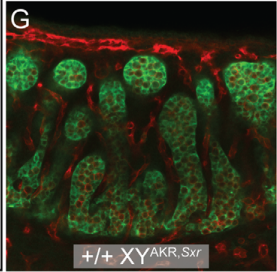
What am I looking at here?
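Testicular tissue with well-formed cords seen in cross and longitudinal section. Cords are separated by narrow interstitial spaces carrying red branching vessels, and a larger red vessel runs beneath the gonad surface.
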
